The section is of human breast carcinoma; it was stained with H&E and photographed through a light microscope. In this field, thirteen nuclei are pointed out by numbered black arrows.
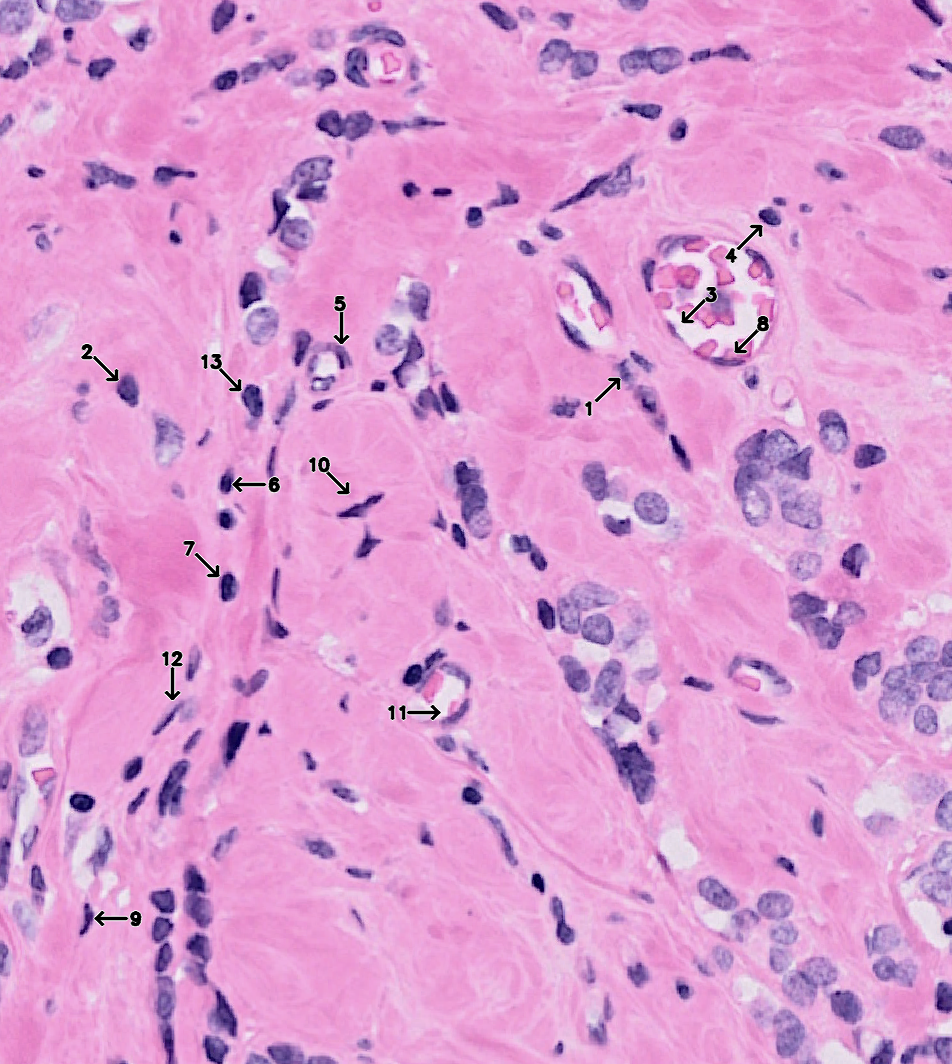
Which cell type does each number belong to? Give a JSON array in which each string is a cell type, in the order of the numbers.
["endothelial cell", "lymphocyte", "endothelial cell", "lymphocyte", "endothelial cell", "lymphocyte", "lymphocyte", "endothelial cell", "fibroblast", "fibroblast", "endothelial cell", "fibroblast", "lymphocyte"]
